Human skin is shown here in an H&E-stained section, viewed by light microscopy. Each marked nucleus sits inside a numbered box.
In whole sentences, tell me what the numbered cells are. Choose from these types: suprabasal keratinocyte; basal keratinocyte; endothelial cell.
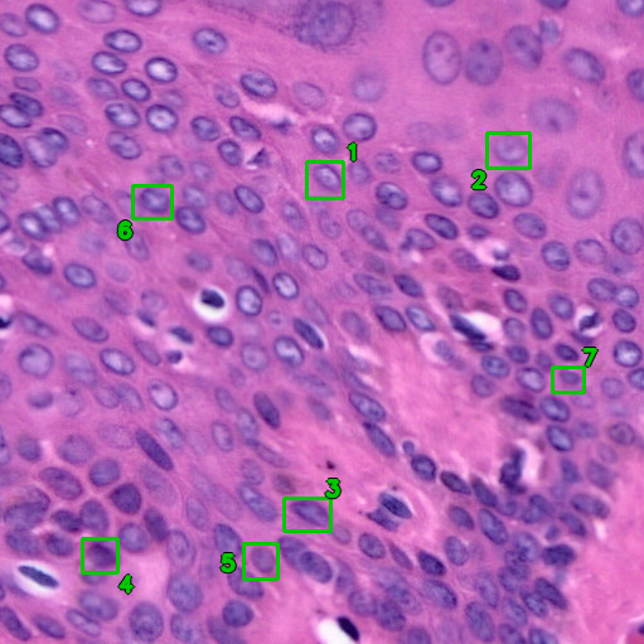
Cell 1 is a suprabasal keratinocyte, cell 2 is a suprabasal keratinocyte, cell 3 is a basal keratinocyte, cell 4 is a basal keratinocyte, cell 5 is a basal keratinocyte, cell 6 is a suprabasal keratinocyte and cell 7 is a basal keratinocyte.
